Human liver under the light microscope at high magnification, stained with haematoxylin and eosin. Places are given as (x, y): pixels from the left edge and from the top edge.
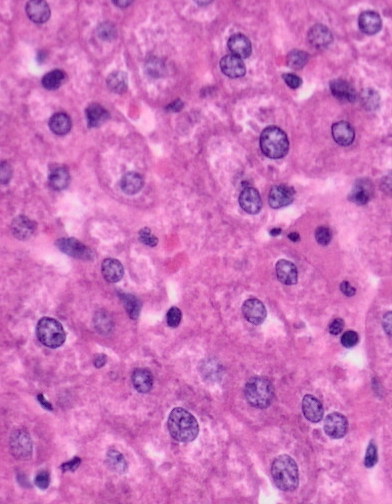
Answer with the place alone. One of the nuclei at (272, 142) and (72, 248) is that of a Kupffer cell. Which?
(72, 248)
